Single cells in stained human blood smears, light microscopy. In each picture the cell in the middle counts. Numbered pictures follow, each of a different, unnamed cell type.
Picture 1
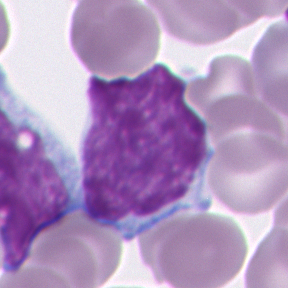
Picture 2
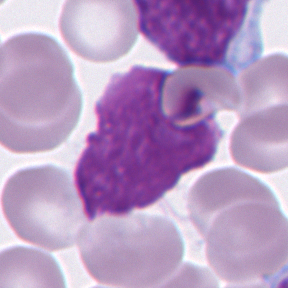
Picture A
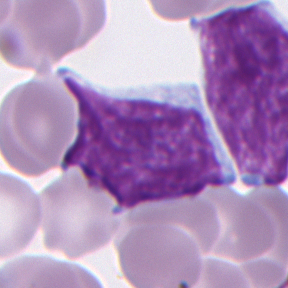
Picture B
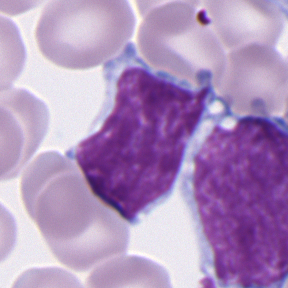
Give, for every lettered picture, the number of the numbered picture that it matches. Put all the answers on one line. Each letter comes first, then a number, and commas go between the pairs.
A 1, B 1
